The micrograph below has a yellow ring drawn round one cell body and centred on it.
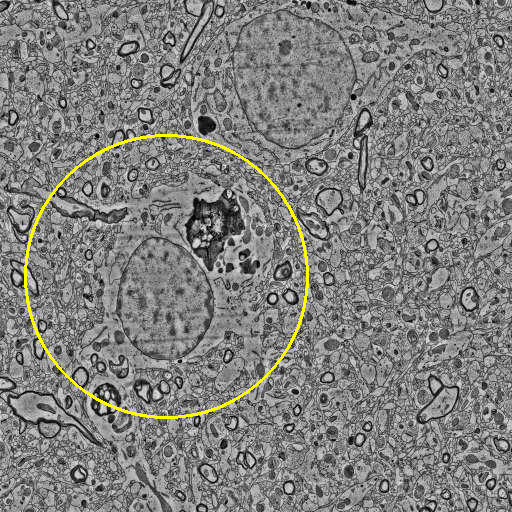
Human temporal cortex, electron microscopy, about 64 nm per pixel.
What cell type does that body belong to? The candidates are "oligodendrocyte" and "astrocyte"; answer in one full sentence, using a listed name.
This is an astrocyte, the cell whose body lies at the centre of the ring.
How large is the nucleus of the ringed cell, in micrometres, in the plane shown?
About 8 micrometres by about 6 micrometres in this plane.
